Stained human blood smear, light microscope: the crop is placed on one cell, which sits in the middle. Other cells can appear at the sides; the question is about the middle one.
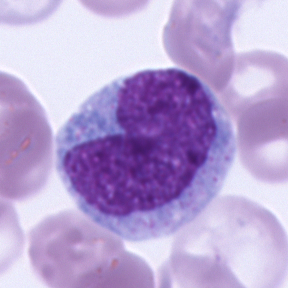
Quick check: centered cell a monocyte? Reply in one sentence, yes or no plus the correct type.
Yes, the cell in the exact middle is a monocyte.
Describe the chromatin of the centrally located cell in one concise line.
The chromatin is fine throughout, without coarse clumps.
